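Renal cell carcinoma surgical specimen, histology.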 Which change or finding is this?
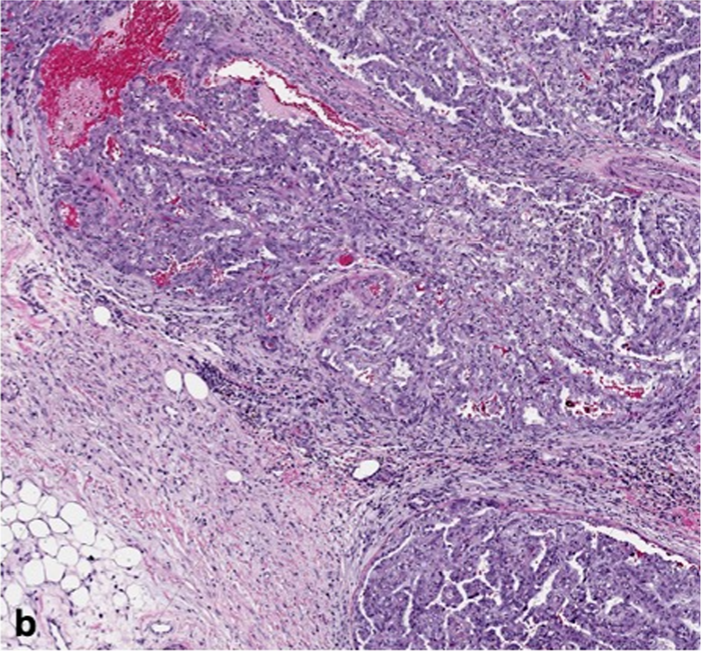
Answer: tubulopapillary growth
